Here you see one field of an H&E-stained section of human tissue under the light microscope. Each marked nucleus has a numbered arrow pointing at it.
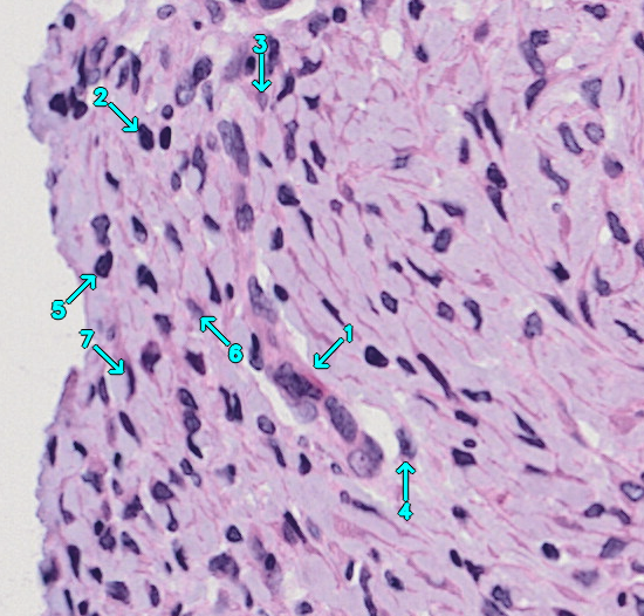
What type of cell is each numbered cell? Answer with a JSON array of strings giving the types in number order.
["endothelial cell", "lymphocyte", "fibroblast", "fibroblast", "lymphocyte", "fibroblast", "fibroblast"]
